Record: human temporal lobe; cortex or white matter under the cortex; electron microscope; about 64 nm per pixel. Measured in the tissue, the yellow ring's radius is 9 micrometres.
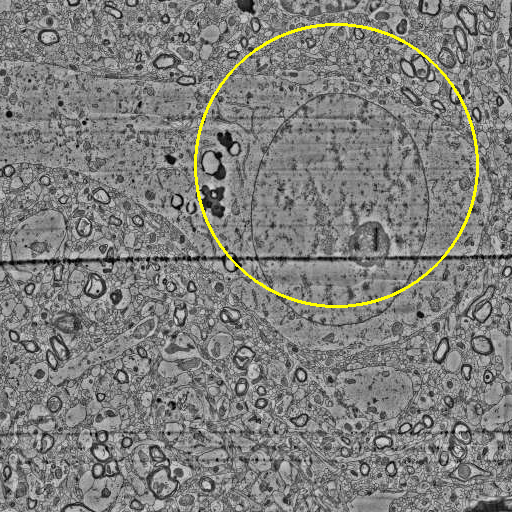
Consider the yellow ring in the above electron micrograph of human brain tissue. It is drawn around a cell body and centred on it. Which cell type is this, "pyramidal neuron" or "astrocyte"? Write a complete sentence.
The cell in question is a pyramidal neuron.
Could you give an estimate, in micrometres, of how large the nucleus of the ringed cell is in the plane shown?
In this plane, the nucleus of the cell at the centre of the ring measures about 15 by 11 micrometres.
